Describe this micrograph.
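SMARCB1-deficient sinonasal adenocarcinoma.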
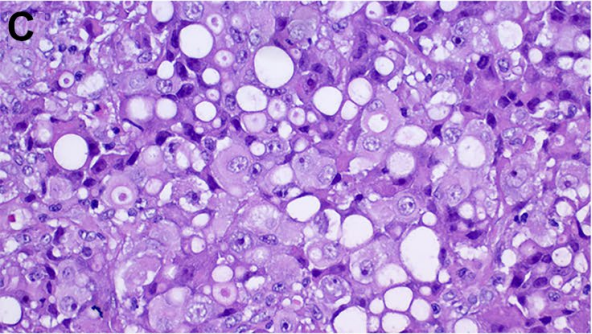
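Here a solid tumour is built of large polygonal cells with plentiful pink cytoplasm, packed side by side in a sheet without stroma between them. Their nuclei are round to oval, pale and vesicular, many with a distinct nucleolus, and they vary somewhat in size. Scattered throughout are numerous round clear spaces of differing size; the smaller ones sit within or between cells like tiny lumina, some holding a drop of pink secretion, while larger ones are empty and punched-out. A few cells have darker, smaller nuclei. The overall look resembles an apocrine duct carcinoma.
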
